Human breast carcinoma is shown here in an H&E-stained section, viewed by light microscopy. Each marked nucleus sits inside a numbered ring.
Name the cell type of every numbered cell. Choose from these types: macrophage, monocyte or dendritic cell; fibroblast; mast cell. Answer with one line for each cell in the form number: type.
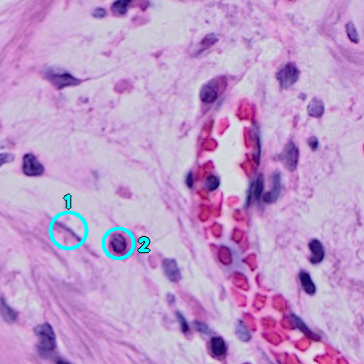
1: fibroblast
2: mast cell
